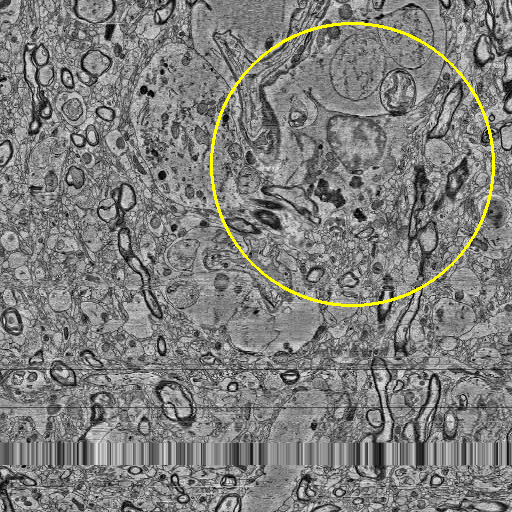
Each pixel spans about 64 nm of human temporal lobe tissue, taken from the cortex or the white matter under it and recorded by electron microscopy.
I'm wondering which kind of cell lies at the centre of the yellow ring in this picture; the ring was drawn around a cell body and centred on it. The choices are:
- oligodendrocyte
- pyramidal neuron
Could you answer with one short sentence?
At the centre of the ring lies an oligodendrocyte.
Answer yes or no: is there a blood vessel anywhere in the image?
Yes, a vessel appears in the picture.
